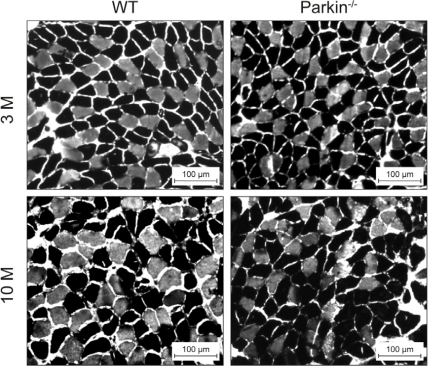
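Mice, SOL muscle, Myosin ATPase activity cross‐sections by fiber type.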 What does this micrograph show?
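The fibres are polygonal to rounded, packed side by side, with grey and black fibres intermingled in a mosaic rather than grouped into separate regions. Thin white spaces outline each fibre. Within one field, fibres vary somewhat in size, and some grey fibres appear mottled.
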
